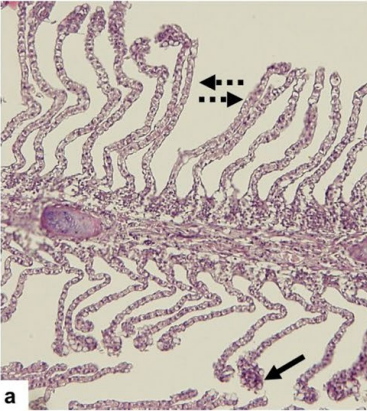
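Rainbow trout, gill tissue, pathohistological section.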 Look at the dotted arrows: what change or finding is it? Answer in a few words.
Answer: Lamellar curling and lateral fusion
